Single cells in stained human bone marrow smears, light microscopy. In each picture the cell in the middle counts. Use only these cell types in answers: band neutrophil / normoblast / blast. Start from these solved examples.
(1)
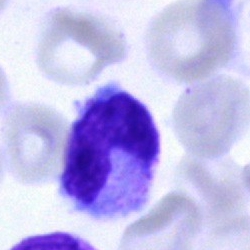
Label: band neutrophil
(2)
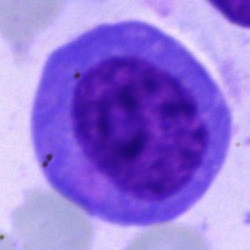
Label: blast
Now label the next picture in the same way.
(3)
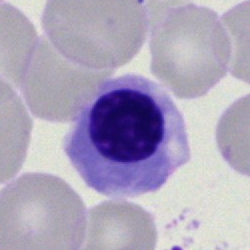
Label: normoblast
